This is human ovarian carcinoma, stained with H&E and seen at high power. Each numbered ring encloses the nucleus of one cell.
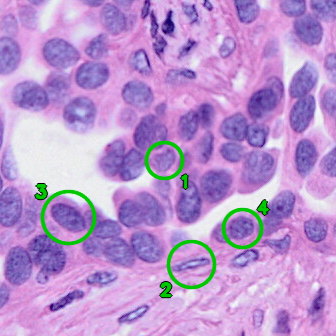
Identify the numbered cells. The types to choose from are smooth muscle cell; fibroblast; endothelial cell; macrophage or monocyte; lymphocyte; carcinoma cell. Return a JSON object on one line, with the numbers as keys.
{"1": "carcinoma cell", "2": "fibroblast", "3": "carcinoma cell", "4": "carcinoma cell"}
